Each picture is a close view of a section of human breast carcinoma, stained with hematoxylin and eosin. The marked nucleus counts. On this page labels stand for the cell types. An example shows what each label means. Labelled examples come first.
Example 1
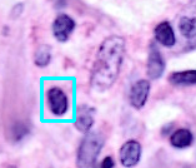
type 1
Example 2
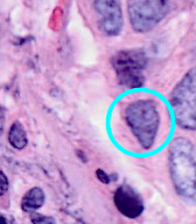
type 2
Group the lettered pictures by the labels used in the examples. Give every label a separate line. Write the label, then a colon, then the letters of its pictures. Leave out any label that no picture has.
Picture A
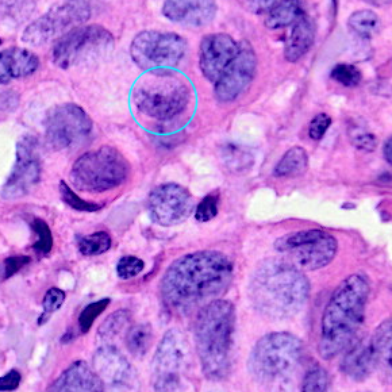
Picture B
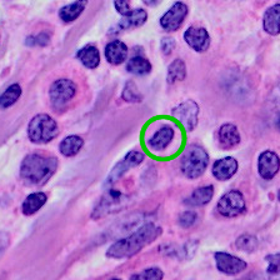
type 1: B
type 2: A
